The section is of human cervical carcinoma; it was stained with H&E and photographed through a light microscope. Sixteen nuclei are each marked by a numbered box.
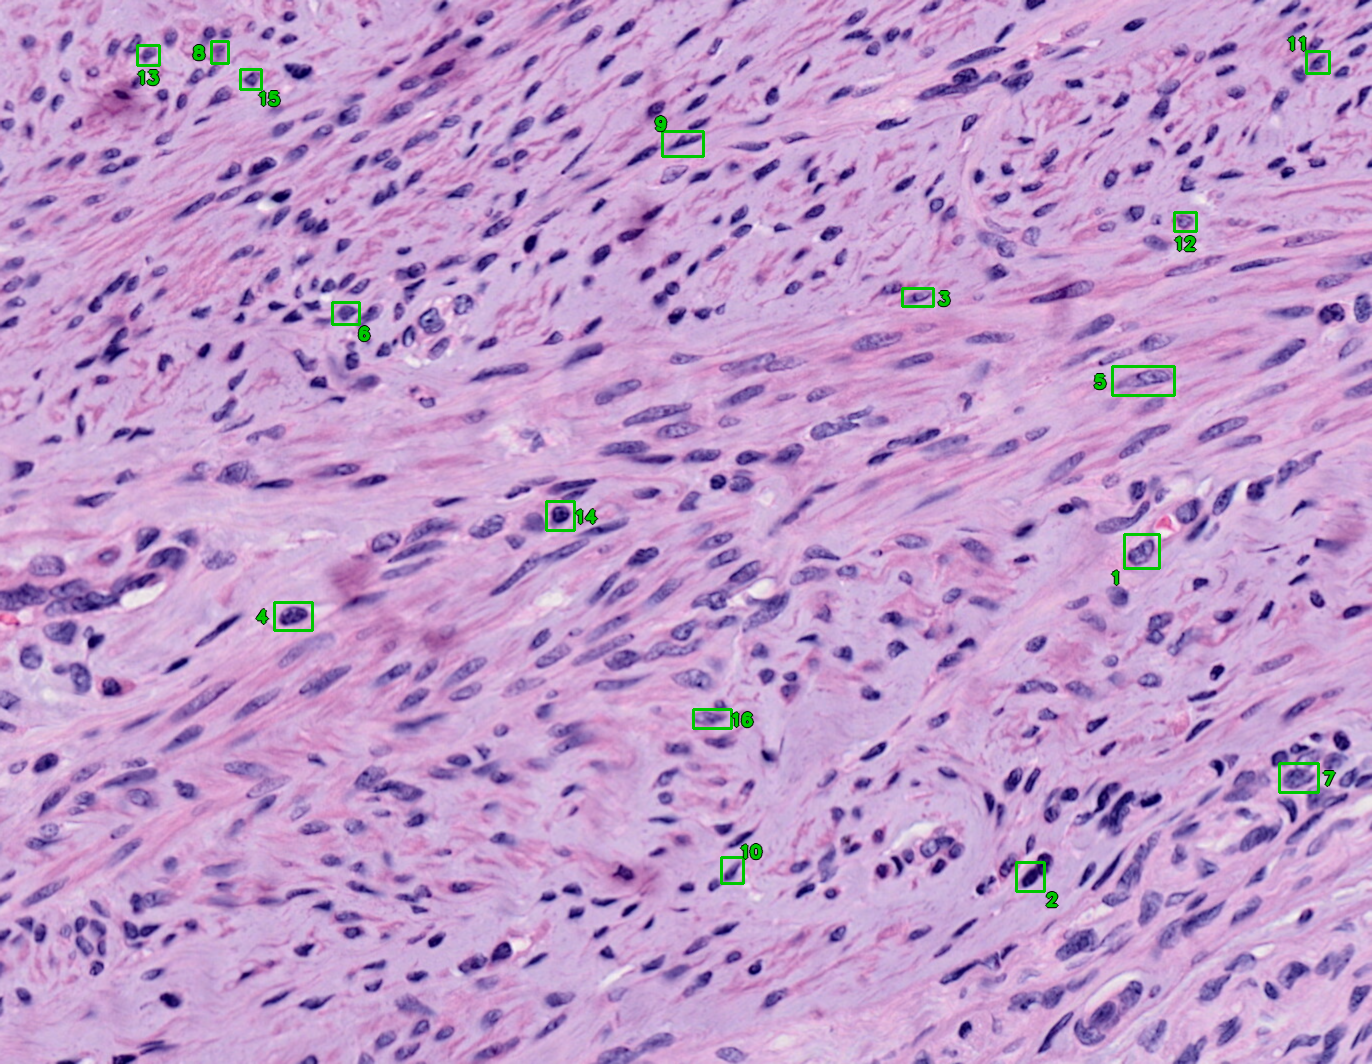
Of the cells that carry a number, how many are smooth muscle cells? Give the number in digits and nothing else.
8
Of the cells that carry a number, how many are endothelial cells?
2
